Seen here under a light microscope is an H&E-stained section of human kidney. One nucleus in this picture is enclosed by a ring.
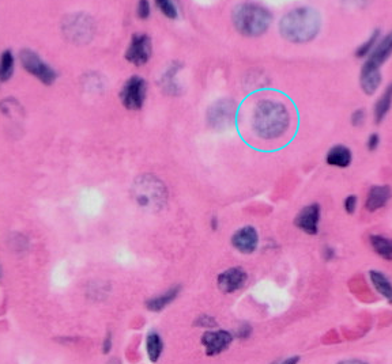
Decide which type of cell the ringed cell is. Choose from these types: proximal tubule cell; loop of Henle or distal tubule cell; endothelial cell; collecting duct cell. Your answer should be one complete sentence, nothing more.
So far as cell type goes, the ringed cell is a loop of Henle or distal tubule cell.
